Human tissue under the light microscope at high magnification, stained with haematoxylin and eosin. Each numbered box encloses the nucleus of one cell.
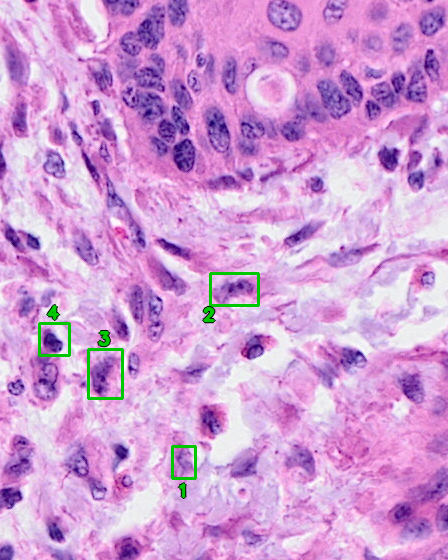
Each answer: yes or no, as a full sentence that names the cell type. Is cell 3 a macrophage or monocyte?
Yes, cell 3 is a macrophage or monocyte in this tissue section.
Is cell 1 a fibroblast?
Yes, to put it simply, cell number 1 is a fibroblast.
